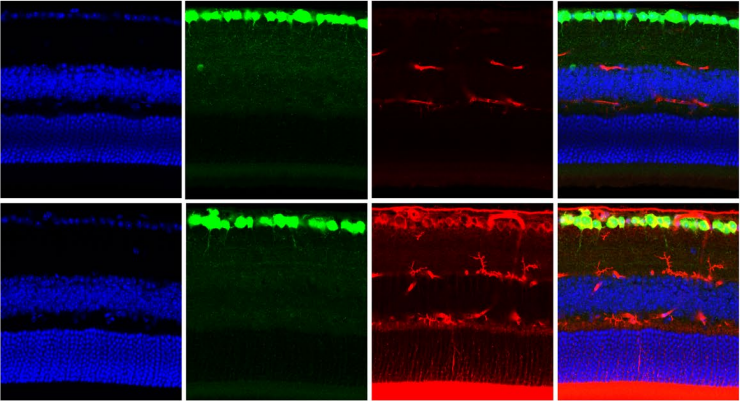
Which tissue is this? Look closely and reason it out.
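Retina. Several parallel bands of blue nuclei stacked one above another. A thin, sparse row of cell bodies along the top edge above a nucleus-poor layer. A thick, densely packed band of small nuclei lower down.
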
